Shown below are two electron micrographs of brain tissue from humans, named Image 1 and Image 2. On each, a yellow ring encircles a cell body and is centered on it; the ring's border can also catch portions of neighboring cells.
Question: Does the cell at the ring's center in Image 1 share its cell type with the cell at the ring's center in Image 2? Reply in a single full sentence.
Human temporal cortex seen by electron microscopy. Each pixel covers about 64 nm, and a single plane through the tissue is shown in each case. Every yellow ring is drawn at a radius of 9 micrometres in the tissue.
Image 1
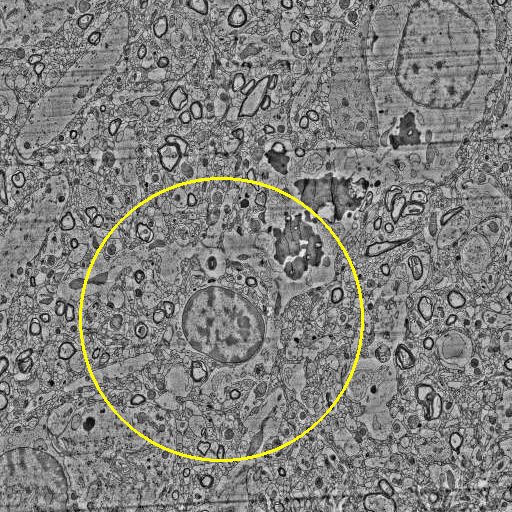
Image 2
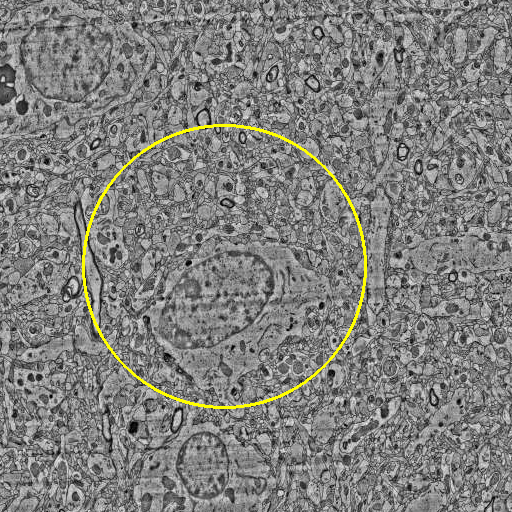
Yes, the two cells at the ring centers, in Image 1 and Image 2, share one cell type.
